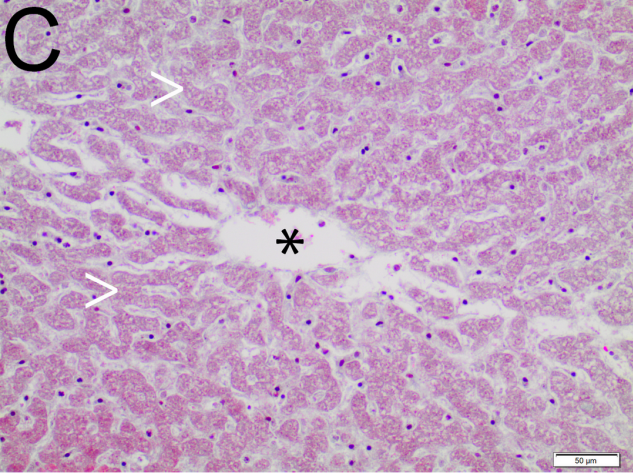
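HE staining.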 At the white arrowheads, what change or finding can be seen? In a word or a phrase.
Anucleate hepatocytes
